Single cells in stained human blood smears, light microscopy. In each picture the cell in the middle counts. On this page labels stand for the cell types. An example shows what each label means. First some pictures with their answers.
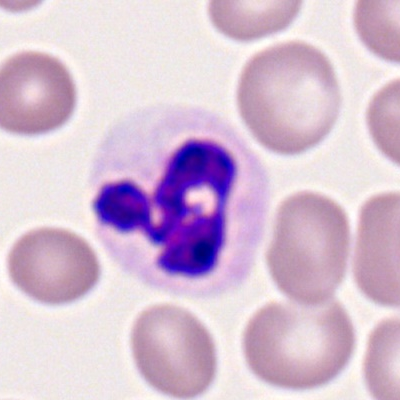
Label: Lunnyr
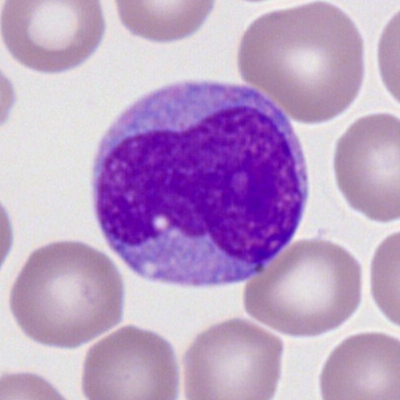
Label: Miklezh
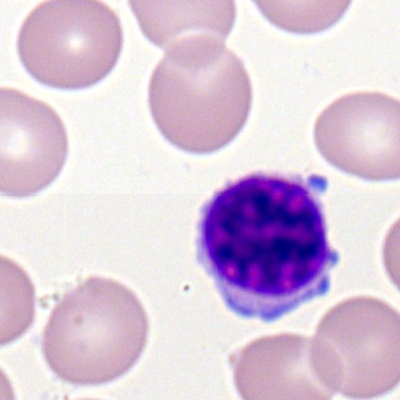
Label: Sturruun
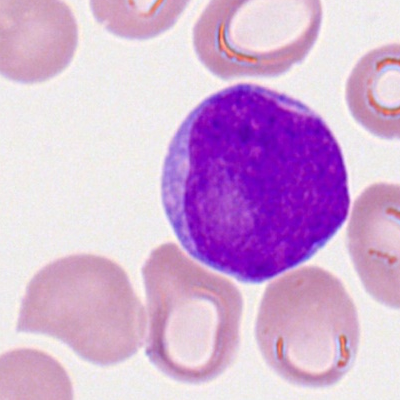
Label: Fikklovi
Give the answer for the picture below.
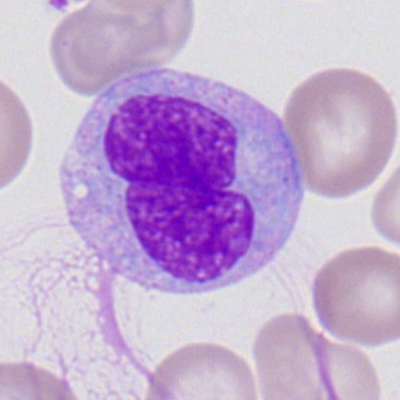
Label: Miklezh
